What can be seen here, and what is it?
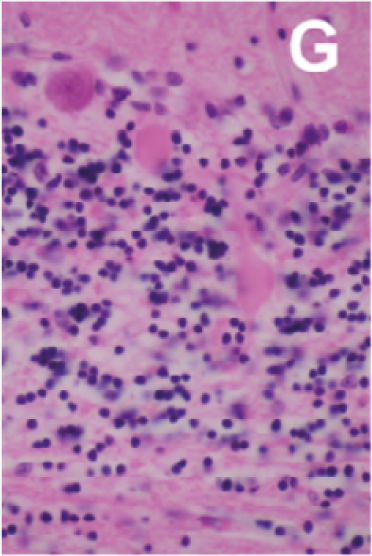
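Here we look at the cerebellar cortex at high power, where a few large Purkinje cells sit among crowds of small granule cells. The Purkinje cells stand out as much bigger bodies with pink cytoplasm, but they do not look healthy. They are rounded or shrunken, their nuclei are hard to make out, and one tapers into a pink process. Above the cells lies the paler, pink, finely fibrous molecular layer with only scattered nuclei.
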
